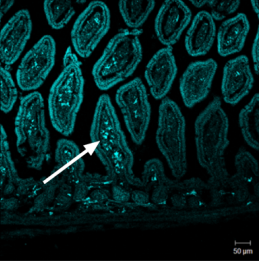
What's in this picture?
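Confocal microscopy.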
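These are intestinal villi cut mostly in cross section, each outlined by a continuous ring of epithelium. Inside each villus the core carries scattered bright cyan cells, many of them small and irregular, sitting beneath the epithelial layer. The bright cells are more numerous in some cores than others. At the bottom of the field the deeper layers of the gut wall run as a band beneath the villi.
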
